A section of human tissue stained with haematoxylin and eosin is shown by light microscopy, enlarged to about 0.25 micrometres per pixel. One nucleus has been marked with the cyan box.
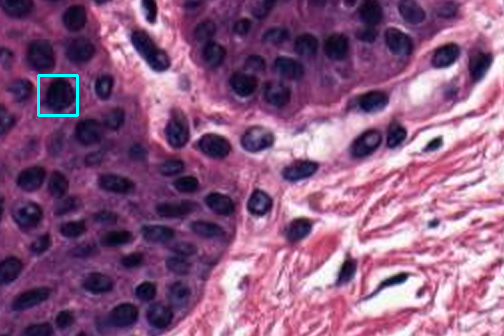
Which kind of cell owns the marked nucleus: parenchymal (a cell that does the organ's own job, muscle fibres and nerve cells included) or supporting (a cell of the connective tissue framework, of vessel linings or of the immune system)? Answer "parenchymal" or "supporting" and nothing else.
parenchymal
